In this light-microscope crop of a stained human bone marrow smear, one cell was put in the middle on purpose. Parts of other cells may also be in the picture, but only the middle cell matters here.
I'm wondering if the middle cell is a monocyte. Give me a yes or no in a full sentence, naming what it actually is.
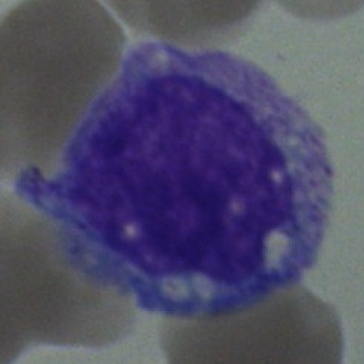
Yes, the cell located at the center is a monocyte.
